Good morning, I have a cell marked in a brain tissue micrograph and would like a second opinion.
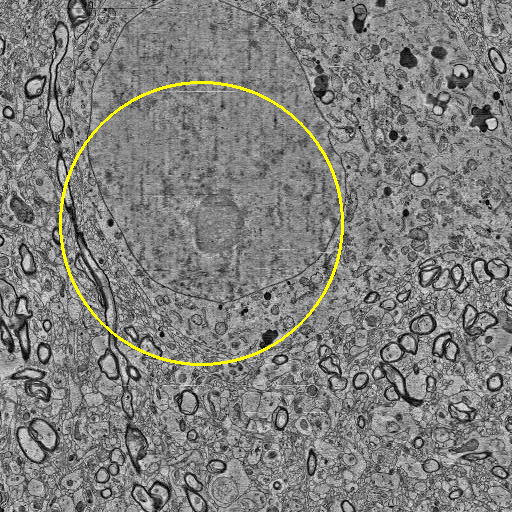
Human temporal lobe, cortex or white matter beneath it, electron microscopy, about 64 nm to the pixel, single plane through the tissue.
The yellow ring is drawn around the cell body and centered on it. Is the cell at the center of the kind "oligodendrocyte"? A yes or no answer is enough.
no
